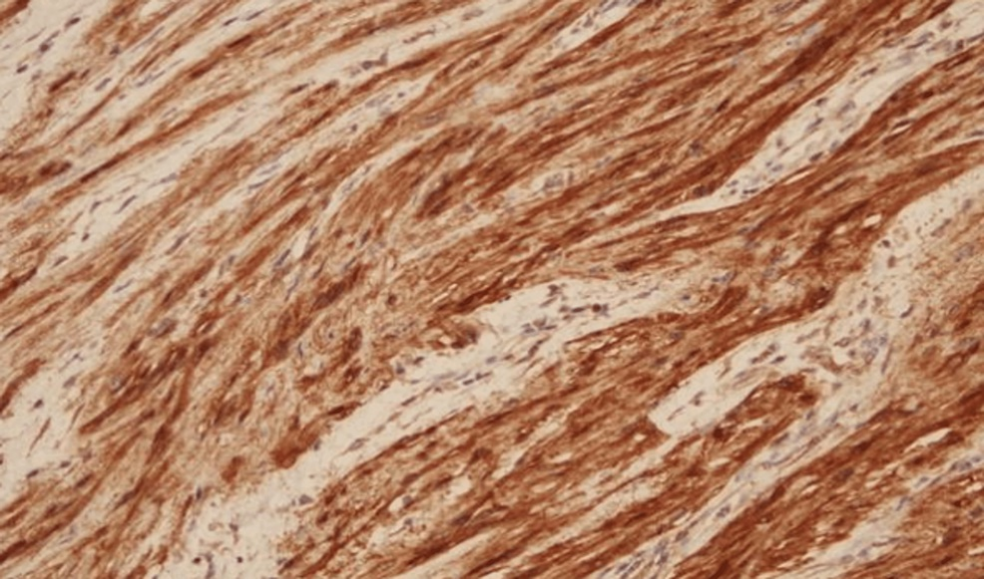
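The elongated cells and their slender processes are strongly and diffusely stained brown. Between the fascicles lie paler, looser bands of tissue with scattered small blue nuclei and little brown stain.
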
